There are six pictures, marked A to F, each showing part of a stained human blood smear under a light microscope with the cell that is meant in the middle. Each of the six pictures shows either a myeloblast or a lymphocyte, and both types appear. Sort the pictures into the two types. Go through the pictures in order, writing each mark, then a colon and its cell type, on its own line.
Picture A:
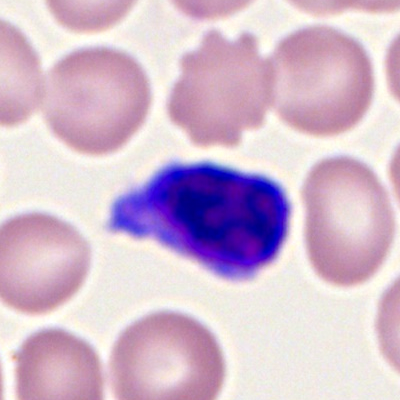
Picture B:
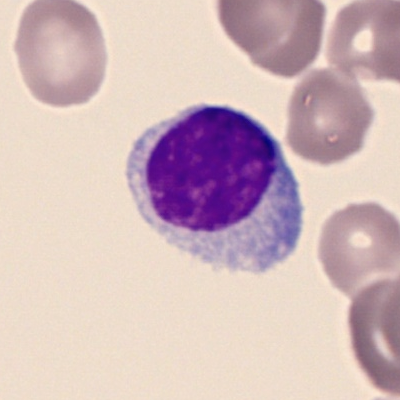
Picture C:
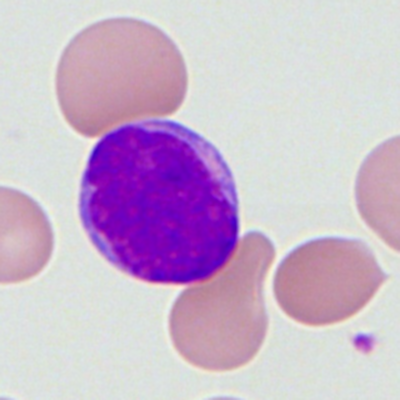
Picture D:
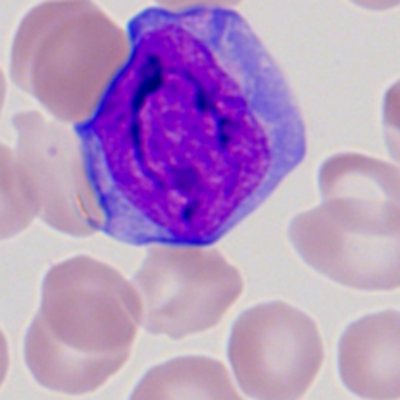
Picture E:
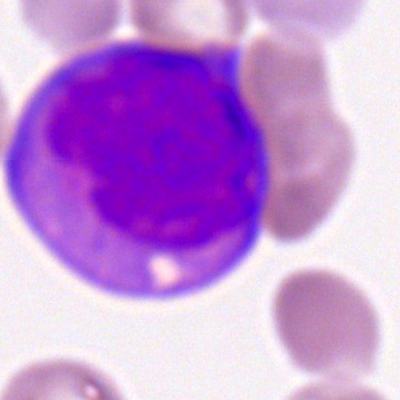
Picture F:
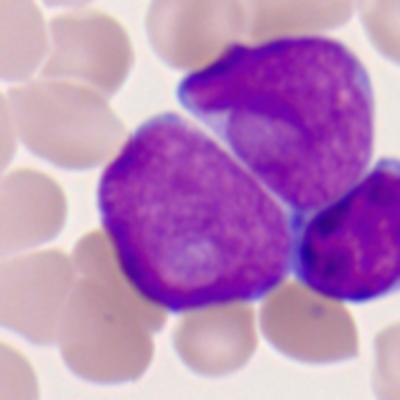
A: lymphocyte
B: lymphocyte
C: myeloblast
D: myeloblast
E: myeloblast
F: myeloblast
